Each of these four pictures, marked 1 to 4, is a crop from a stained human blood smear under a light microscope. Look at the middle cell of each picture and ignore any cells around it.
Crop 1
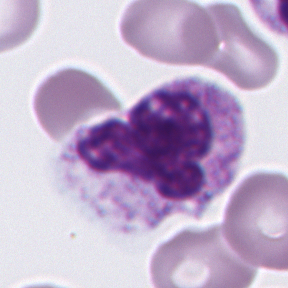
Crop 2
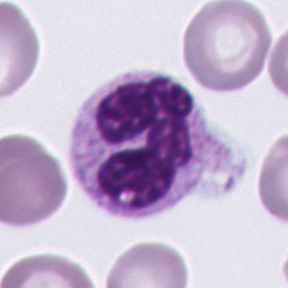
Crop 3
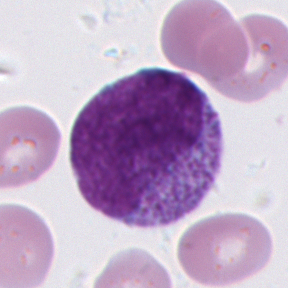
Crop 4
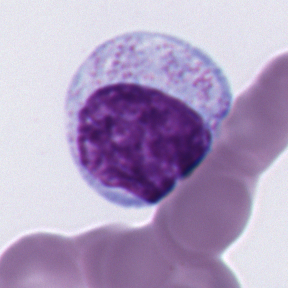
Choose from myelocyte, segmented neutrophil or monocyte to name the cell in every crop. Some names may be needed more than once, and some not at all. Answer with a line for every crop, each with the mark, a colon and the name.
1: segmented neutrophil
2: segmented neutrophil
3: myelocyte
4: myelocyte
